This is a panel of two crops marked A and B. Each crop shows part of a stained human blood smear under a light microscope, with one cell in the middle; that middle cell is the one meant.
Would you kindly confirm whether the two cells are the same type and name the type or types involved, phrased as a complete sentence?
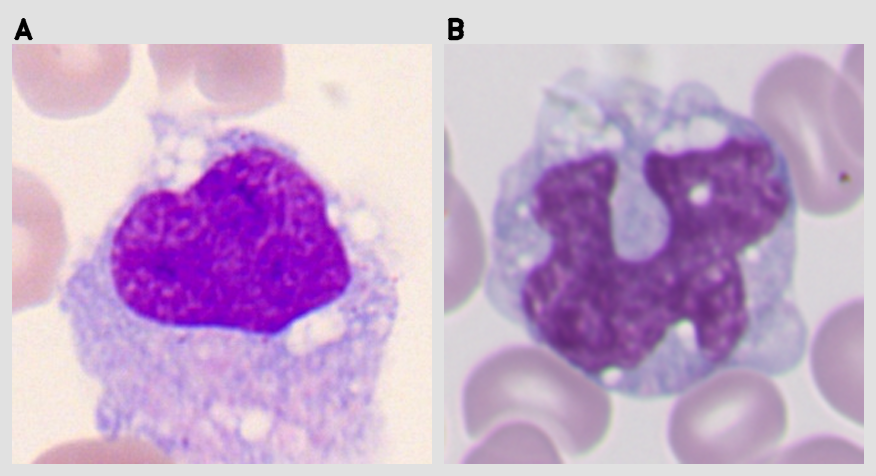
Yes, in the middle of both crops, monocytes are shown.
